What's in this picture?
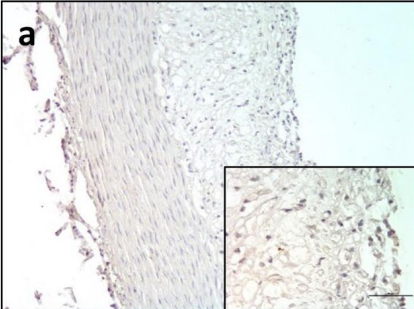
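This section shows an arterial wall with an atherosclerotic lesion on its luminal side, here without brown colour. On the left, a dense band of elongated cells with slender, blue-grey nuclei runs in parallel rows. To the right lies a thickened lesion of loosely packed cells with clear, bubbly cytoplasm and scattered small nuclei. The enlarged inset shows these cells as rounded outlines with pale, vacuolated interiors. Loose fibrous strands trail from the outer edge of the wall on the far left.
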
